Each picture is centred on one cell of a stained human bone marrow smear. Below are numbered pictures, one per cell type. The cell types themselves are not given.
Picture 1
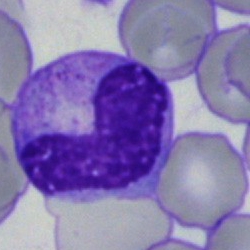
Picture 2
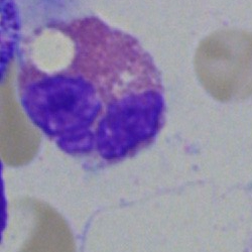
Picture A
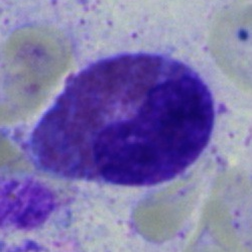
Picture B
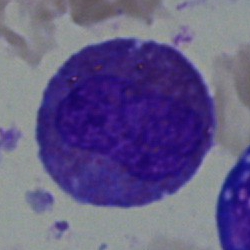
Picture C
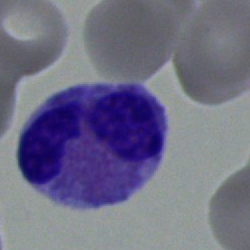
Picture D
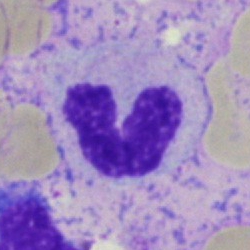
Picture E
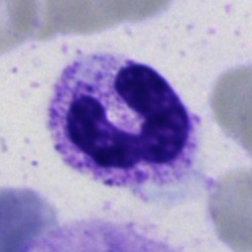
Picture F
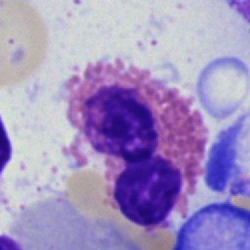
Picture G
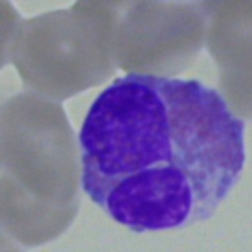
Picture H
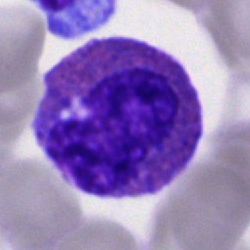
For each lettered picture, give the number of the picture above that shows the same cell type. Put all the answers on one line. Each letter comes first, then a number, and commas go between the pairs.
A 2, B 2, C 2, D 1, E 1, F 2, G 2, H 2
